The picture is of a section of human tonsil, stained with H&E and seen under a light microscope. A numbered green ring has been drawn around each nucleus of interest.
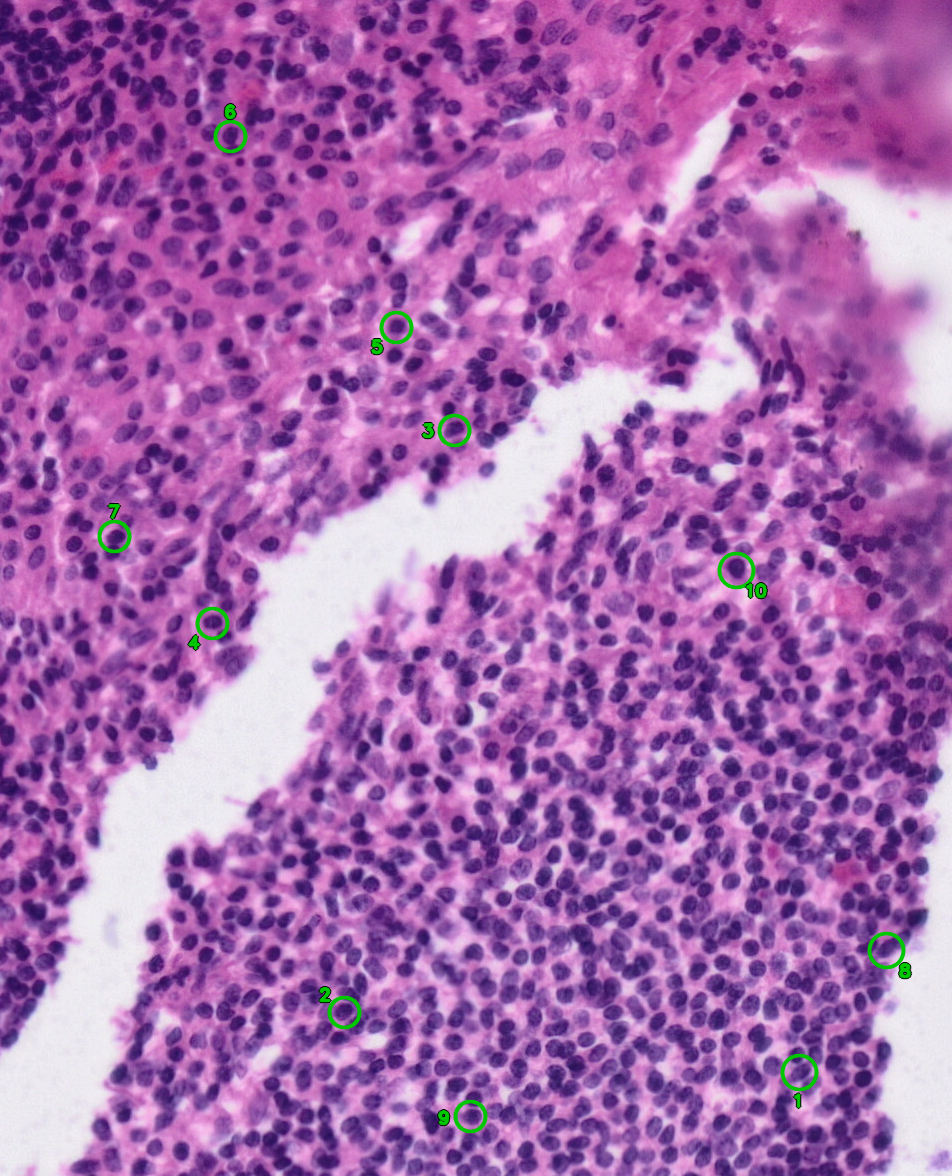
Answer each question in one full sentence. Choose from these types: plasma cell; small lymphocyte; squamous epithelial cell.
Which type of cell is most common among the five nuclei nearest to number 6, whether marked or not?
Plasma cells account for more than half of the five nuclei nearest to number 6.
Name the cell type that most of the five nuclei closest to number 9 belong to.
Around number 9, most of the five nearest nuclei are those of small lymphocytes.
